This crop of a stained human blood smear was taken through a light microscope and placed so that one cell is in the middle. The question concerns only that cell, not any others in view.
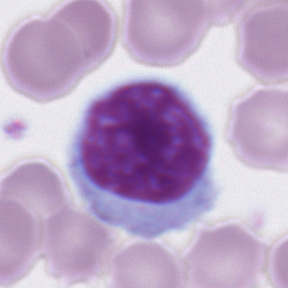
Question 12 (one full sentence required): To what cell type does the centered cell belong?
In the center of this field lies a lymphocyte.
